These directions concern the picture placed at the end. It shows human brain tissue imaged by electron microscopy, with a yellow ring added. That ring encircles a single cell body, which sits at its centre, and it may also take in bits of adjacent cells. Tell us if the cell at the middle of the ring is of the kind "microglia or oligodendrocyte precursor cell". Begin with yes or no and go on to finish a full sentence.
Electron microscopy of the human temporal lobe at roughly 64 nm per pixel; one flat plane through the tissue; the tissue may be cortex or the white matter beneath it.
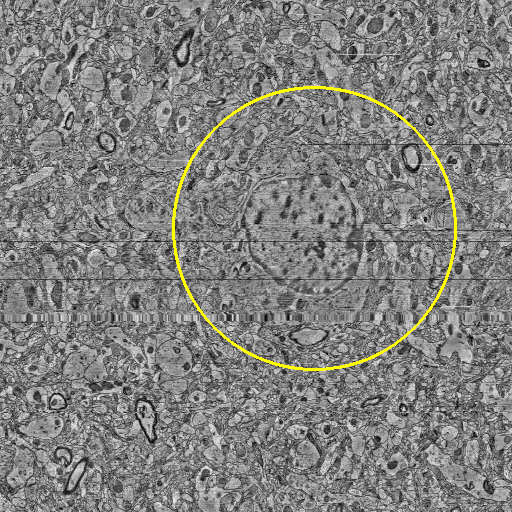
Yes, the cell sitting at the centre of the yellow ring in the picture is of that kind.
